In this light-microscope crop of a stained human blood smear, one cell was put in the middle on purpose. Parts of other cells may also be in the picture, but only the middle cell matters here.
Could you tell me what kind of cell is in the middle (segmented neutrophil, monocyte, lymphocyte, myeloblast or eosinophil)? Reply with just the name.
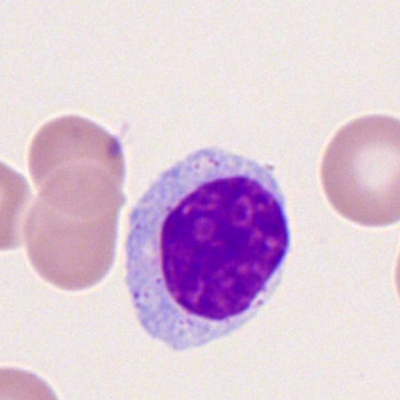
lymphocyte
